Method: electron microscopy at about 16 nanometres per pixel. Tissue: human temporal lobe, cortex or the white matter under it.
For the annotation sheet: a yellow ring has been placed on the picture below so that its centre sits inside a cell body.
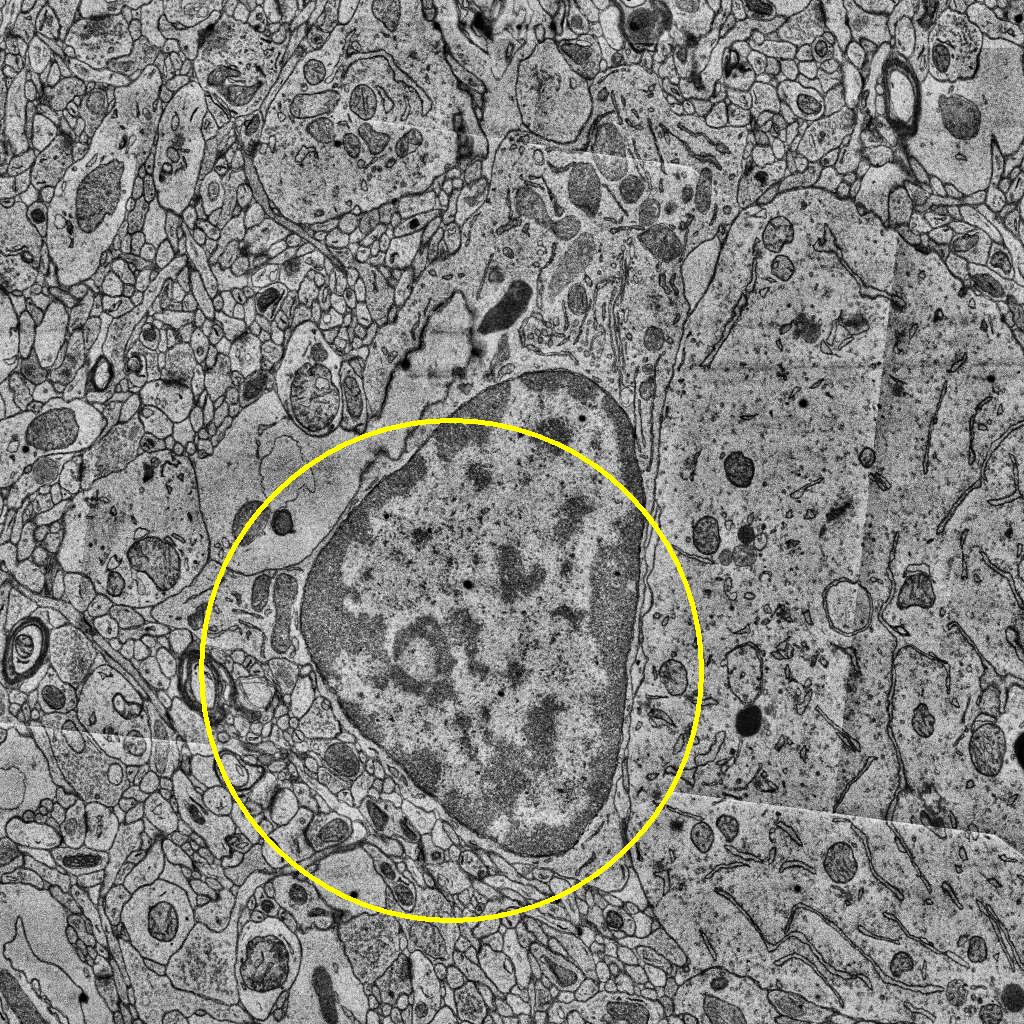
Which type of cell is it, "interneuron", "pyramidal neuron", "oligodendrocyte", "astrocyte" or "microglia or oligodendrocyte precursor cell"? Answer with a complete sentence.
The cell at the ring's centre is a microglial cell or oligodendrocyte precursor cell.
